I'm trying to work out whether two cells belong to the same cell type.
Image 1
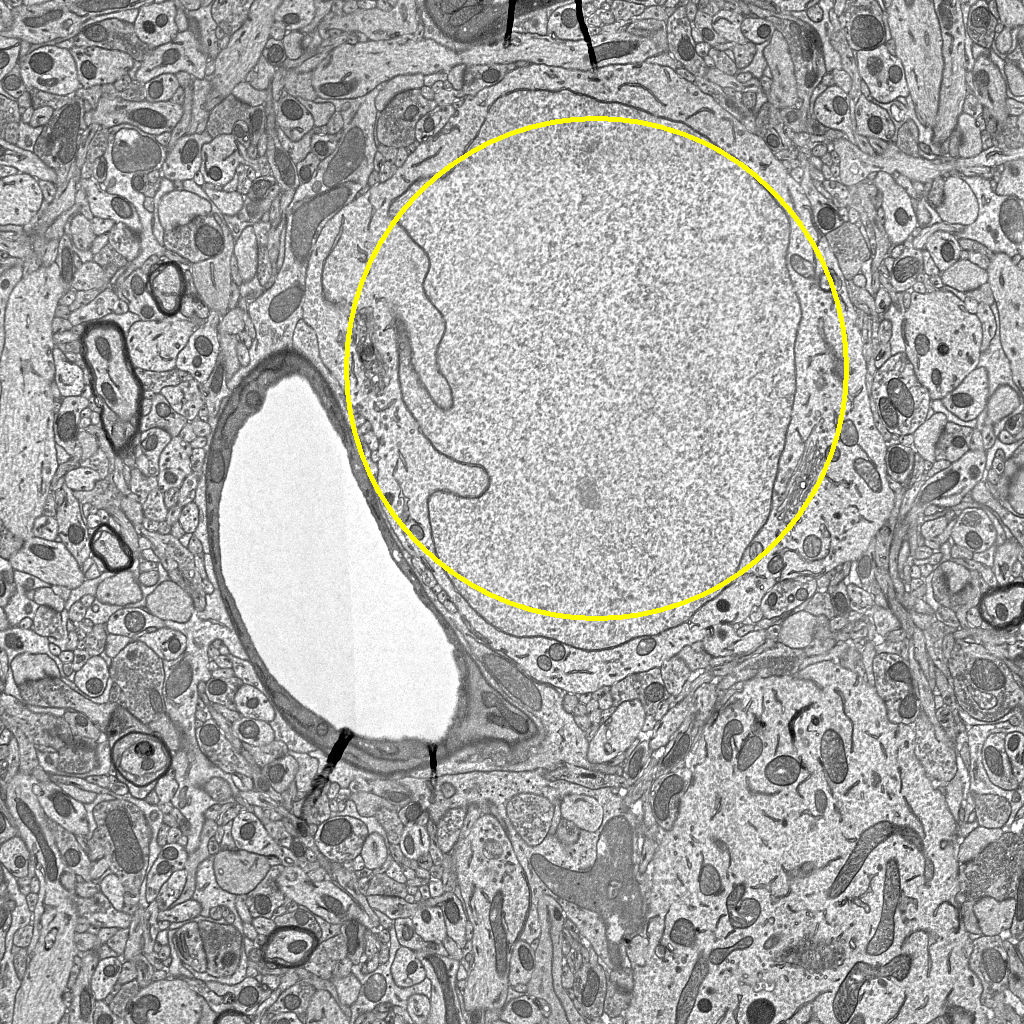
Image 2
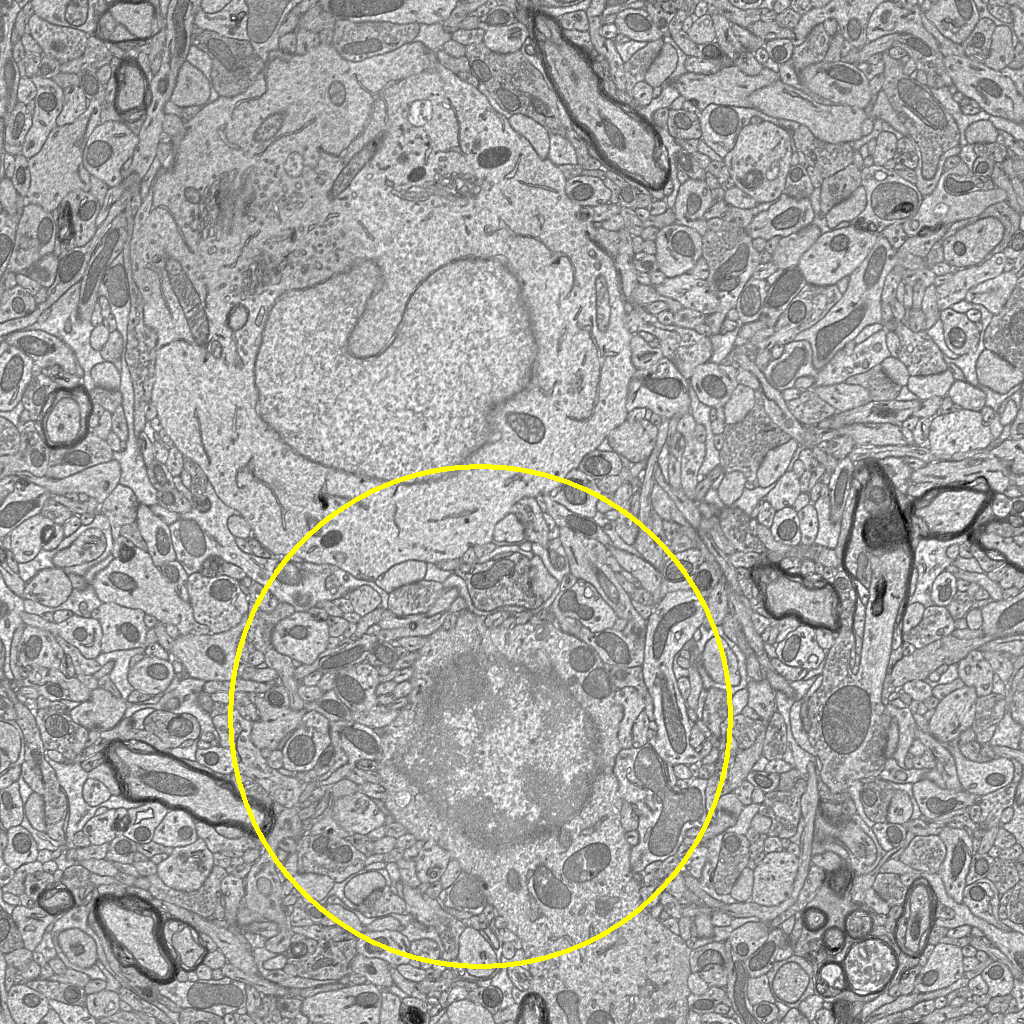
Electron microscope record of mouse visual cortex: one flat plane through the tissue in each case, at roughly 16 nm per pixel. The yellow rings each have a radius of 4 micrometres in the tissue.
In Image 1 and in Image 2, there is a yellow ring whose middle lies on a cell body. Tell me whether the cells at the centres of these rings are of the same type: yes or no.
no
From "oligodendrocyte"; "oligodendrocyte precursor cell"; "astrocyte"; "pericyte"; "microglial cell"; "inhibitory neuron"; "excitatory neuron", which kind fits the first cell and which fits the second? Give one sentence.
The two differ: the first cell is an excitatory neuron and the second is an oligodendrocyte.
